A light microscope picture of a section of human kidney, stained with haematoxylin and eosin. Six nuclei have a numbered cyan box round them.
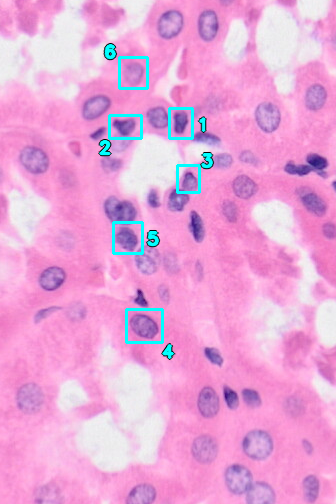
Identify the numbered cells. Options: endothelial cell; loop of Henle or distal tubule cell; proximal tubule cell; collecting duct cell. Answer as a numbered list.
1. collecting duct cell
2. collecting duct cell
3. collecting duct cell
4. proximal tubule cell
5. collecting duct cell
6. proximal tubule cell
